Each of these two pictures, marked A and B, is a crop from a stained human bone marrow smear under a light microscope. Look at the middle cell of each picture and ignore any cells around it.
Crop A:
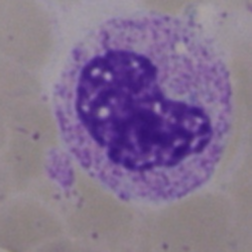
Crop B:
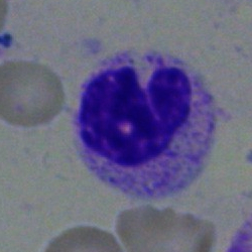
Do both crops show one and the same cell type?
yes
